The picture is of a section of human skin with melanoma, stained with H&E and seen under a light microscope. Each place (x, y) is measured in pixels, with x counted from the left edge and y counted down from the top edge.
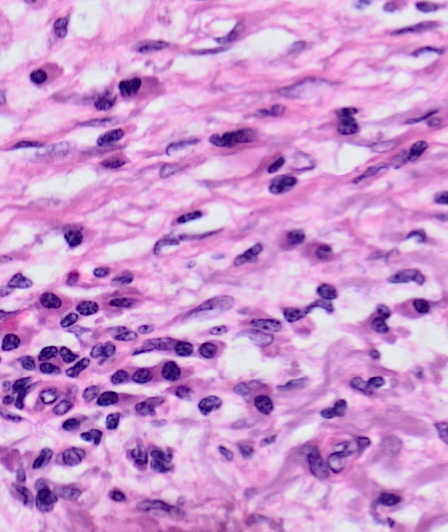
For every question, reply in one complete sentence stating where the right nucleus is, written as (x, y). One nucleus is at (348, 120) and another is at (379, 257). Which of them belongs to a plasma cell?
The member of the pair belonging to a plasma cell is the nucleus at (348, 120).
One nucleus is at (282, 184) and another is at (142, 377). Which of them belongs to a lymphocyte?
The nucleus located at (282, 184) is the one held within a lymphocyte.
